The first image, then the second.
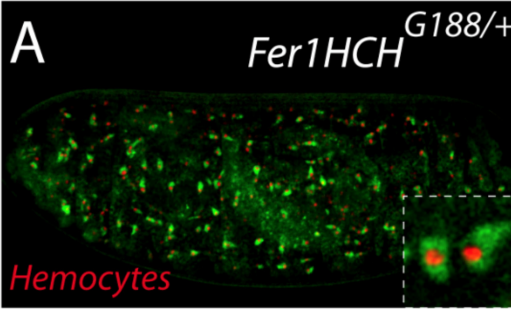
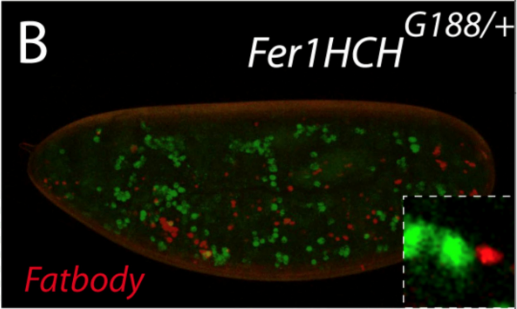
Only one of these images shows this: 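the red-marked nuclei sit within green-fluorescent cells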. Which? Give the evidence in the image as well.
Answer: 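Second image: red nuclei lie apart from the green clusters, and the inset shows a green blob beside a separate red nucleus. First image: most red nuclei are paired with green signal, and the inset shows red nuclei each with green around them.
Conclusion: the first image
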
